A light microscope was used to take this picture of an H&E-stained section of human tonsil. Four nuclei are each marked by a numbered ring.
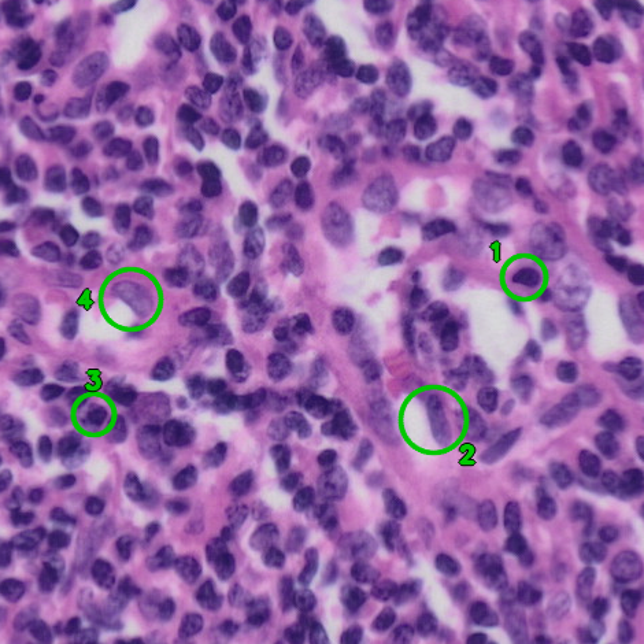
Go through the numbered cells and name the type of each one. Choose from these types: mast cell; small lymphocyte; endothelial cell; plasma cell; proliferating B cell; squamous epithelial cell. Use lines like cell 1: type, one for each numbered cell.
cell 1: endothelial cell
cell 2: endothelial cell
cell 3: small lymphocyte
cell 4: endothelial cell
